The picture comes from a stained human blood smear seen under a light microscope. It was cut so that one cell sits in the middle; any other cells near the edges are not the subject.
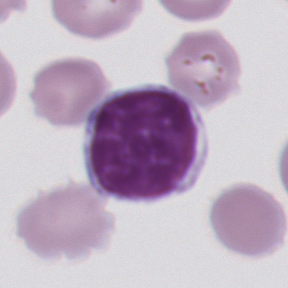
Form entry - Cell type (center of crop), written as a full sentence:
Standing at the centre of this crop is a lymphocyte.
